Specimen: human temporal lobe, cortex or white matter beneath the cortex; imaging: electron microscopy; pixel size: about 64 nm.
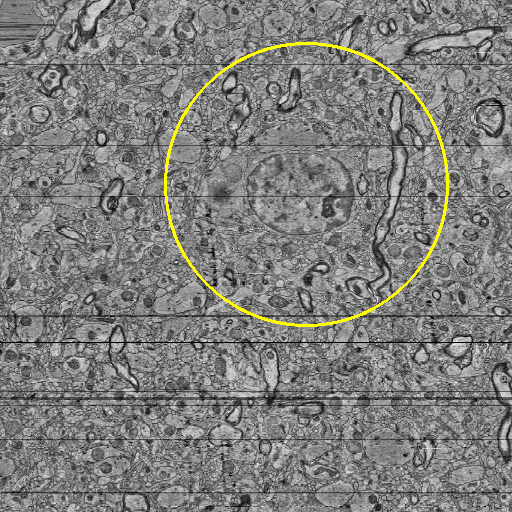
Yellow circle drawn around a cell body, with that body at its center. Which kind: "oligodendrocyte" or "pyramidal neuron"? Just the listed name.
oligodendrocyte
